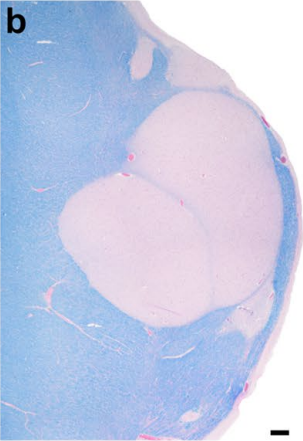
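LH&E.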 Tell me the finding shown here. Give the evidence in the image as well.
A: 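Multinodular heterotopia. Two rounded pale pink nodules lie side by side within blue-stained white matter. The nodules lack blue staining and are sharply bordered.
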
